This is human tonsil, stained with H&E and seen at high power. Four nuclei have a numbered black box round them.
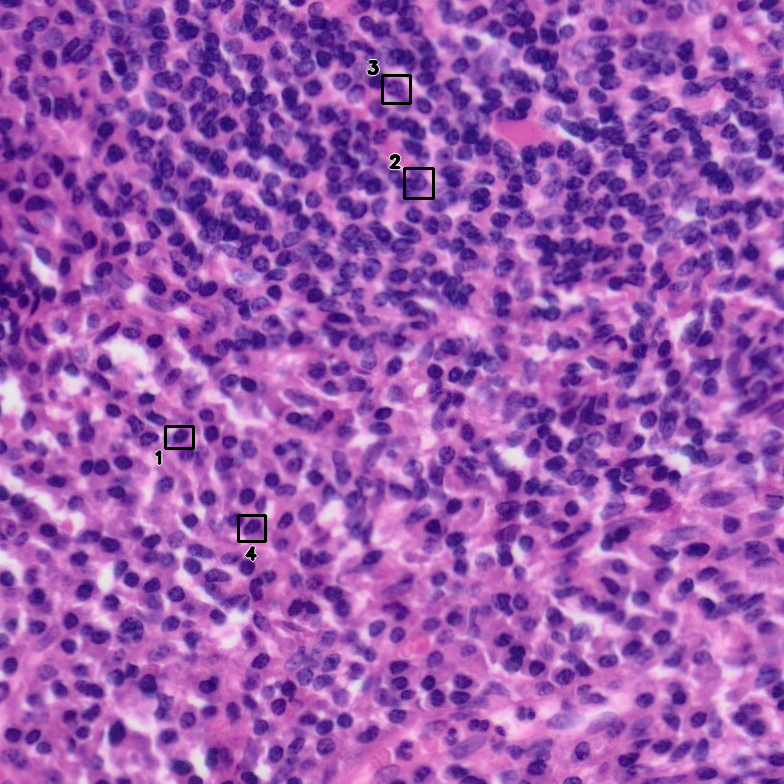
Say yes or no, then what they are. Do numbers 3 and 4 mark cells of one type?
No, cell 3 is a small lymphocyte and cell 4 is a plasma cell.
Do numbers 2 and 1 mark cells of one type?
No, cell 2 is a small lymphocyte and cell 1 is a plasma cell.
